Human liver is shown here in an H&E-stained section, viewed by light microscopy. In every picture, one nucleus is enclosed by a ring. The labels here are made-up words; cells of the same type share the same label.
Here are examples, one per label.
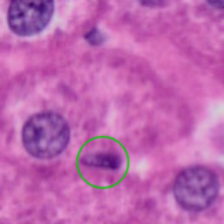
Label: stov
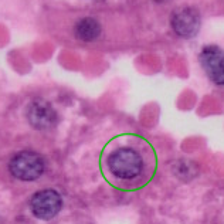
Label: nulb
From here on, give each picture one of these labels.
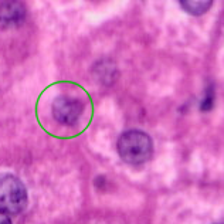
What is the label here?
stov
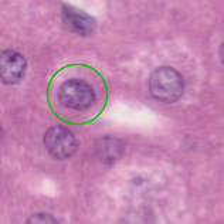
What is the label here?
nulb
